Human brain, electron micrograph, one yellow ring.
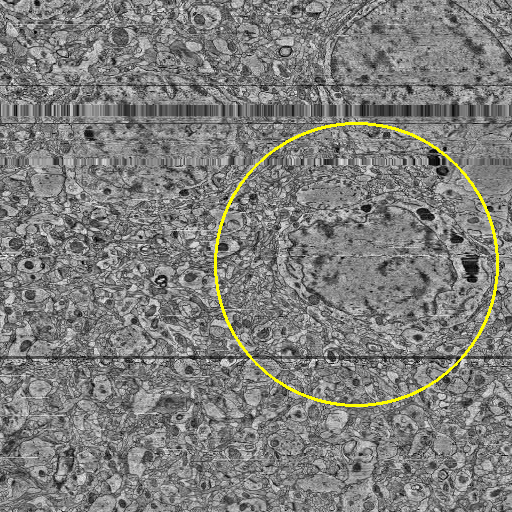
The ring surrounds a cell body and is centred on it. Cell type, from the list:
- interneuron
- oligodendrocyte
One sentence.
The yellow ring circles an interneuron.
